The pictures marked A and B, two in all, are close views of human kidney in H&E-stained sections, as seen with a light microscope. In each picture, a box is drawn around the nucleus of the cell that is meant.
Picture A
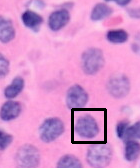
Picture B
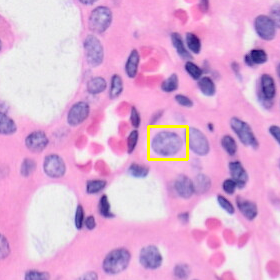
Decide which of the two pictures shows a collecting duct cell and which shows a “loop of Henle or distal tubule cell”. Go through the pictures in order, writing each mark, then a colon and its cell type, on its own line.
A: loop of Henle or distal tubule cell
B: collecting duct cell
